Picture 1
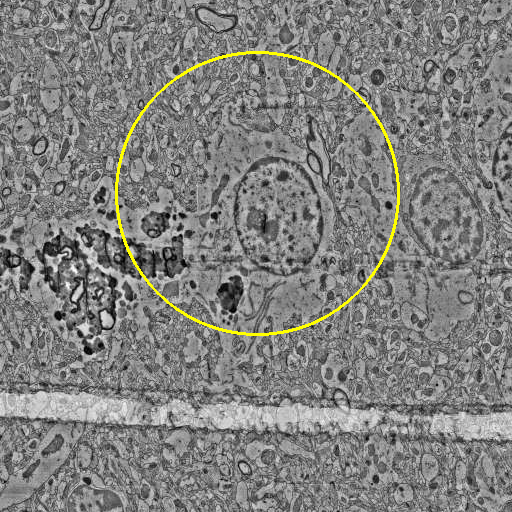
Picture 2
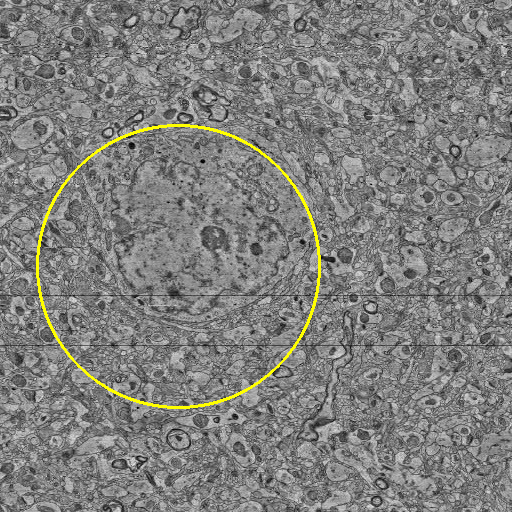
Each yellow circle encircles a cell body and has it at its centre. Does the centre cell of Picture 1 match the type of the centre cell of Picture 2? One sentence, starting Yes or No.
No, the cell centred in Picture 1 and the one in Picture 2 have separate types.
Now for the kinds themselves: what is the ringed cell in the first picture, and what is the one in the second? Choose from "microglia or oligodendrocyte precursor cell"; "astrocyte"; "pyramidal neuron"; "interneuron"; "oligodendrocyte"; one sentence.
Here the first cell is an astrocyte and the second cell is an interneuron.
